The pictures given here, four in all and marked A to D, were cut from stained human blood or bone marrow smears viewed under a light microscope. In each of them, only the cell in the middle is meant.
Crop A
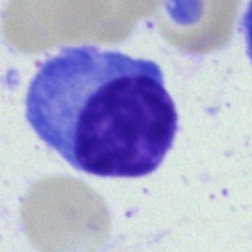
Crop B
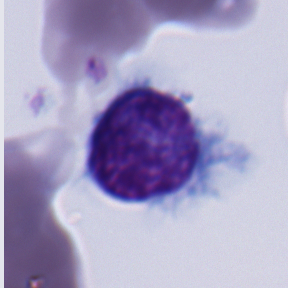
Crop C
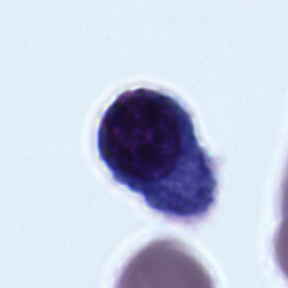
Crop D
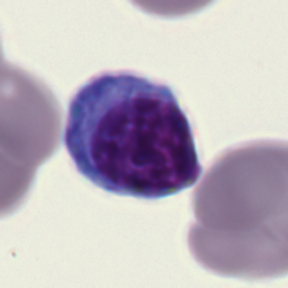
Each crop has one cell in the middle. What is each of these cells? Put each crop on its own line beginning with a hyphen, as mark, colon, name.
- A: plasma cell
- B: hairy cell
- C: plasma cell
- D: plasma cell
